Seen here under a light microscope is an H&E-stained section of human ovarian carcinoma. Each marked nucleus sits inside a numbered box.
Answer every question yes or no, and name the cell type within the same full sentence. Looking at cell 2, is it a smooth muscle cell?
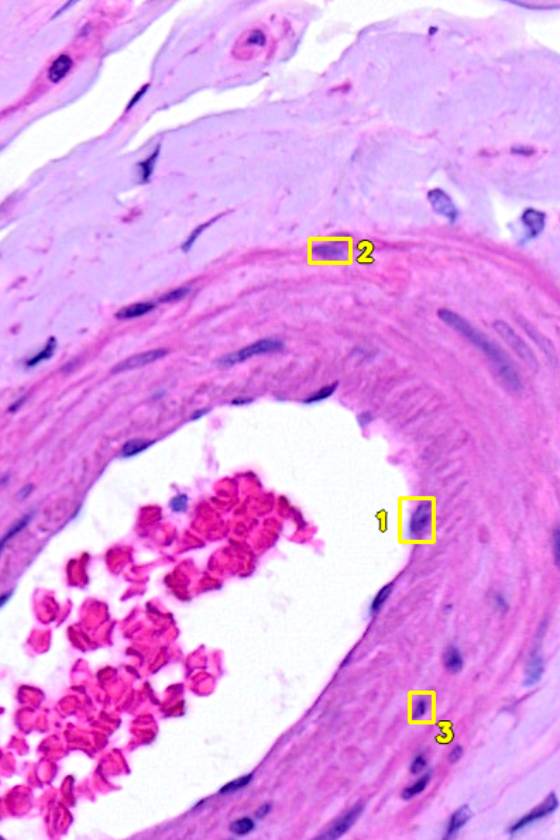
Yes, the cell labelled with number 2 is a smooth muscle cell.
